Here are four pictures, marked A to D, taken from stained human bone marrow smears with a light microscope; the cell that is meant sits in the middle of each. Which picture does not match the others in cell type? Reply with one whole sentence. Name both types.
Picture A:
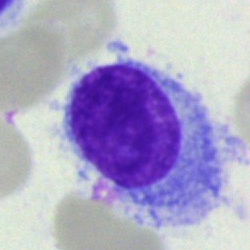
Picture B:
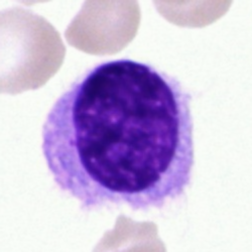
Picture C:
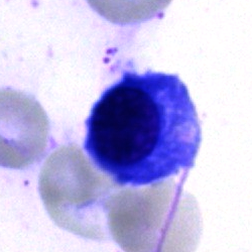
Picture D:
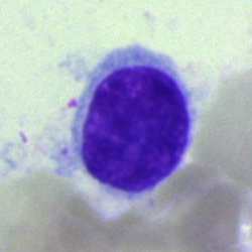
Picture C is the odd one out: it shows a plasma cell, while the others show hairy cells.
